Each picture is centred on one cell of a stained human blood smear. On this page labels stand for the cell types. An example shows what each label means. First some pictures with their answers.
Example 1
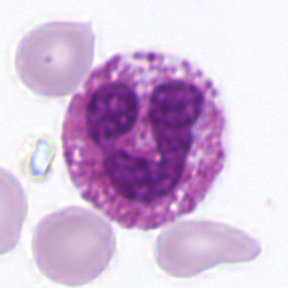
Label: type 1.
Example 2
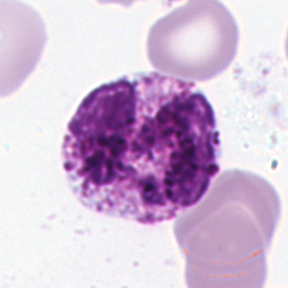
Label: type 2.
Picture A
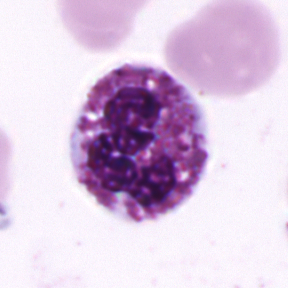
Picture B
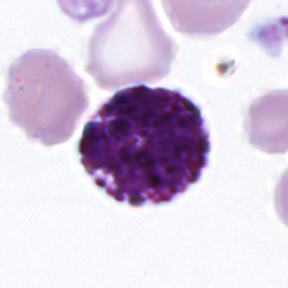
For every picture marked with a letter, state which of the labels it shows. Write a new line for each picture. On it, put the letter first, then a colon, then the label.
A: type 1.
B: type 2.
